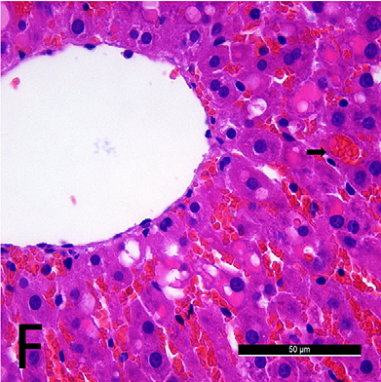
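Liver tissue around a large empty vessel lumen, with hepatocytes whose appearance is markedly disturbed. Bright red clusters of erythrocytes lie widely between the cell cords, some forming compact pools, one marked by an arrow. The regular cord arrangement is lost in places. These features indicate hepatocyte degeneration and necrosis with extensive hemorrhage into the tissue.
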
